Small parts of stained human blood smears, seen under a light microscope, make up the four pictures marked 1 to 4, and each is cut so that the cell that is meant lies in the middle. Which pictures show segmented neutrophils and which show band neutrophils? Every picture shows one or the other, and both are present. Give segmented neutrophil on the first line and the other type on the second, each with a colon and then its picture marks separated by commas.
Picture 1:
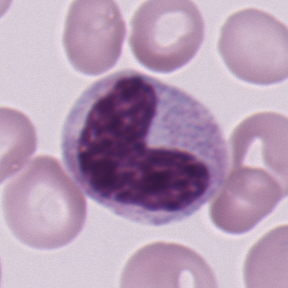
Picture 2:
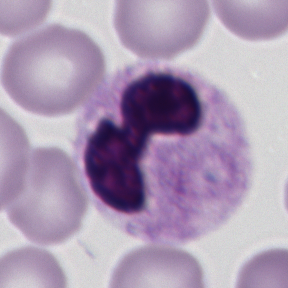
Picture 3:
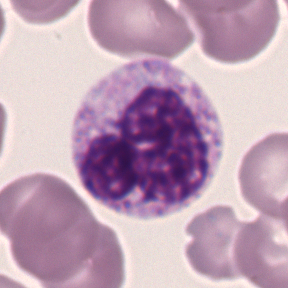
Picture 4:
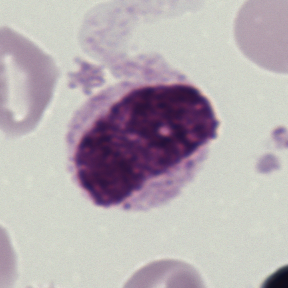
segmented neutrophil: 2, 3
band neutrophil: 1, 4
